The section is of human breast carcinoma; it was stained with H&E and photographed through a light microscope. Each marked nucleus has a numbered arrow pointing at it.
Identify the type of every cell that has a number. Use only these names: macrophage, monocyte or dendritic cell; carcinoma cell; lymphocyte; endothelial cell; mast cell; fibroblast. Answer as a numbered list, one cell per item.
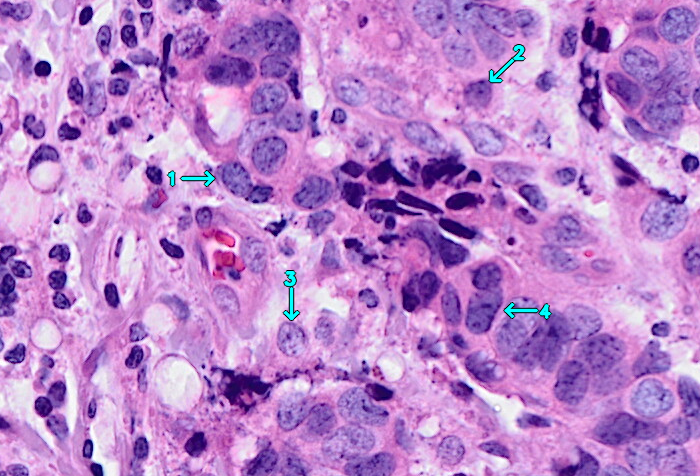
1. carcinoma cell
2. carcinoma cell
3. macrophage, monocyte or dendritic cell
4. carcinoma cell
